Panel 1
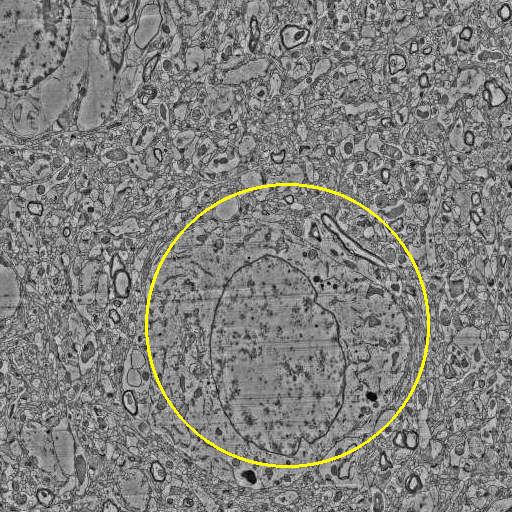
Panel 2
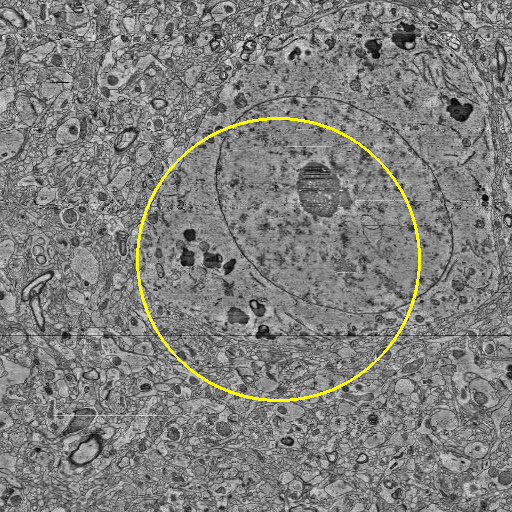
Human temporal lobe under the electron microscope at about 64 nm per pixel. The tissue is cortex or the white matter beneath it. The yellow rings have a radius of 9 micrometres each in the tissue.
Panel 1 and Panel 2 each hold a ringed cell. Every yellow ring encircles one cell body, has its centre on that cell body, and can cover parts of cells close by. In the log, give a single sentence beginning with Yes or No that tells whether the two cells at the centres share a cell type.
Yes, in Panel 1 and Panel 2 the centred cells share a cell type.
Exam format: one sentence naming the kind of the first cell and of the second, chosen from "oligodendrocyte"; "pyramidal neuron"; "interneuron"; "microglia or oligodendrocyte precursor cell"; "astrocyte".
In each picture the ringed cell is a pyramidal neuron.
